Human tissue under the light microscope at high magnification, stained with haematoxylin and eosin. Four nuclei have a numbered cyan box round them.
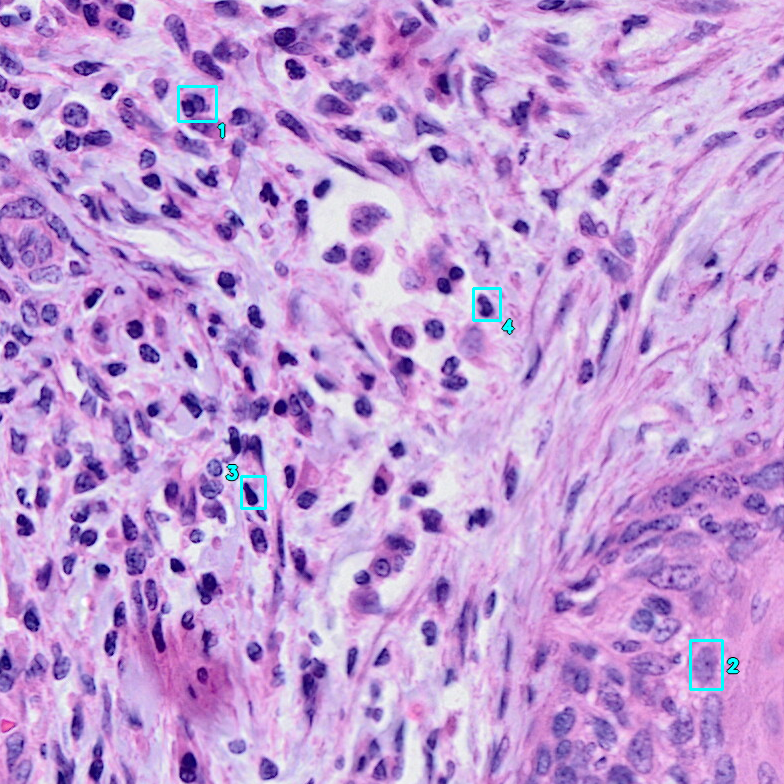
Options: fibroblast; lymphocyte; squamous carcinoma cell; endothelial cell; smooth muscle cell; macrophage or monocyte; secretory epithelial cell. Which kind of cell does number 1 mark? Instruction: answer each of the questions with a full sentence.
Corresponding to a lymphocyte is the cell labelled 1.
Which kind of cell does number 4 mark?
Classified as a lymphocyte is the cell with the number 4.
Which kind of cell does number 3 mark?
The correct answer for cell 3 is a lymphocyte.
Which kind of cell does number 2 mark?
The cell pointed out by number 2 is a squamous carcinoma cell.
